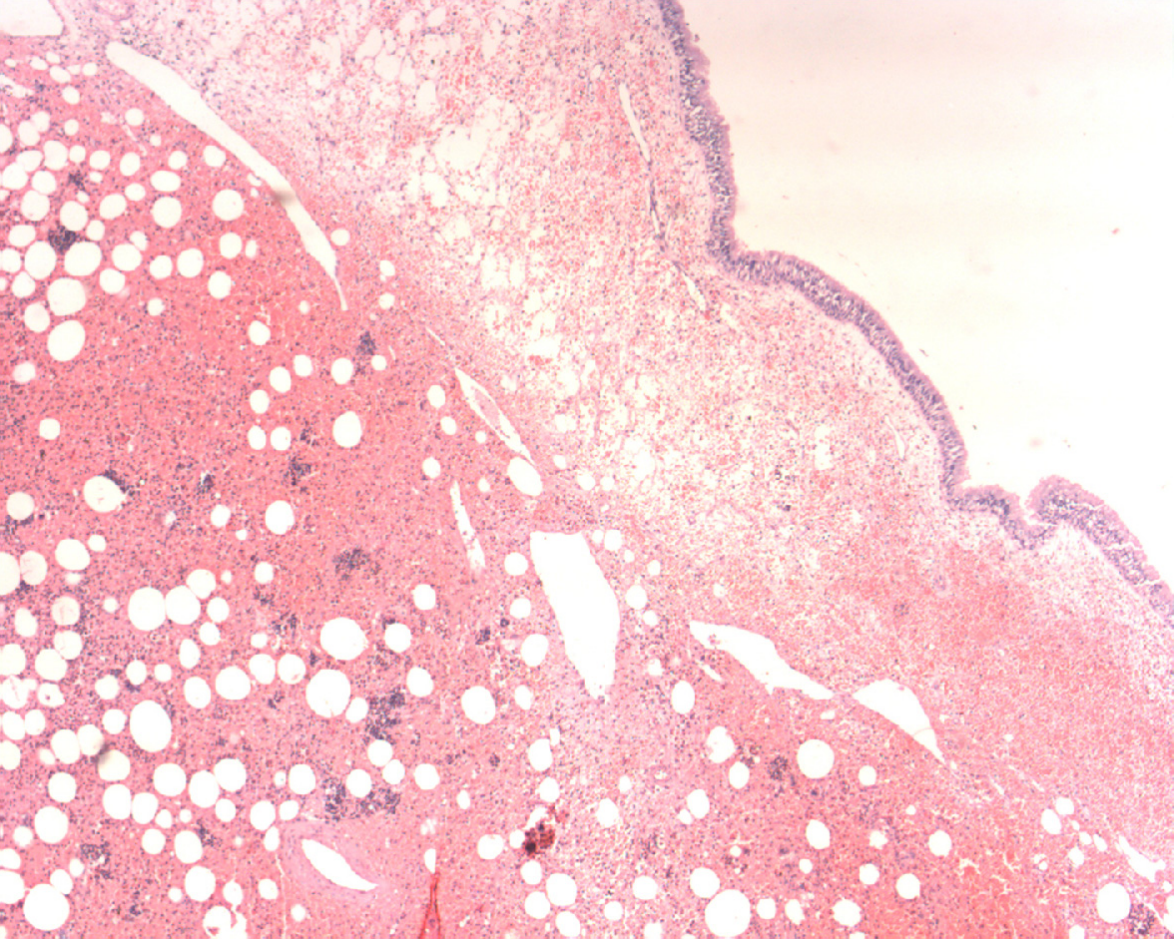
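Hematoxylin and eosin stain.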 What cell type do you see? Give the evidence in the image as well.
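Many round, empty, clear vacuoles of varying size are scattered through the deep left part of the tissue.
Conclusion: adipocytes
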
